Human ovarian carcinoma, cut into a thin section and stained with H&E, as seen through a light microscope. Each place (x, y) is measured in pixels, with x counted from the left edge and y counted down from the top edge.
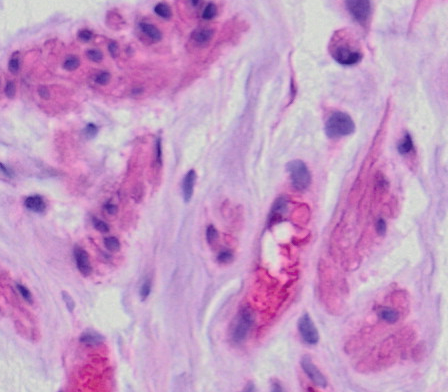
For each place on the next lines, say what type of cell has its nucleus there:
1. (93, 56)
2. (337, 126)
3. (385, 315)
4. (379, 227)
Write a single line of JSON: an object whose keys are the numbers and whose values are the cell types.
{"1": "smooth muscle cell", "2": "fibroblast", "3": "smooth muscle cell", "4": "smooth muscle cell"}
